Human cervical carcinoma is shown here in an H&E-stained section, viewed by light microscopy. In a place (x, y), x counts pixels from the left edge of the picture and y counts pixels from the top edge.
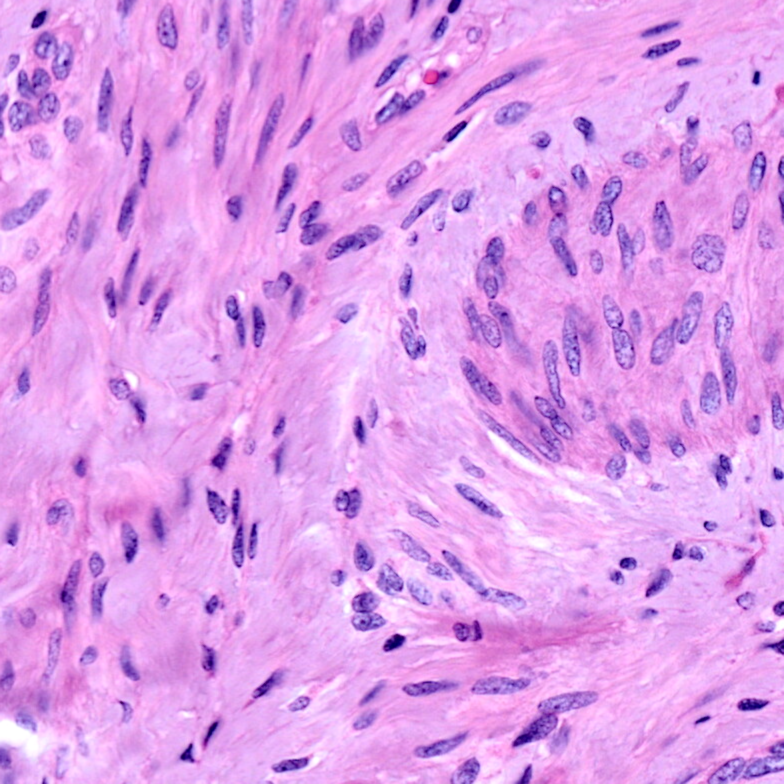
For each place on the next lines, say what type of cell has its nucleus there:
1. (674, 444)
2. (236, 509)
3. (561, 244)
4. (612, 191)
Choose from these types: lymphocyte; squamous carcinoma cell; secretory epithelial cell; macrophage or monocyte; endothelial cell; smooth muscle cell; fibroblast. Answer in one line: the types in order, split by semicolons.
smooth muscle cell; fibroblast; smooth muscle cell; smooth muscle cell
